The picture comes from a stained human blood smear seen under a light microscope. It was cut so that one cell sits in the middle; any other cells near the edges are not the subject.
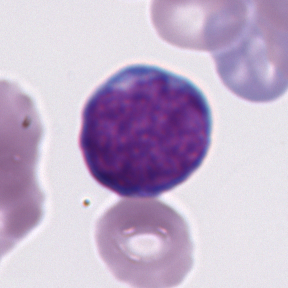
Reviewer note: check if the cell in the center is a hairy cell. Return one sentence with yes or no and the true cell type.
No, the central cell is a blast, not a hairy cell.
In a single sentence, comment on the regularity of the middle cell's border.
The cell shows a smooth outline that lacks any surface projections.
